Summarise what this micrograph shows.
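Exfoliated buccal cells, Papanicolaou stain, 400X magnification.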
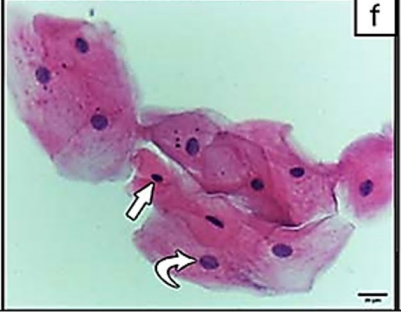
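The cells are polygonal with thin folded edges, and each contains one oval dark-purple nucleus near its centre. Fine dark granules are scattered through parts of the cytoplasm. One nucleus is small and densely dark, a pyknotic nucleus, smaller than its neighbours.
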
